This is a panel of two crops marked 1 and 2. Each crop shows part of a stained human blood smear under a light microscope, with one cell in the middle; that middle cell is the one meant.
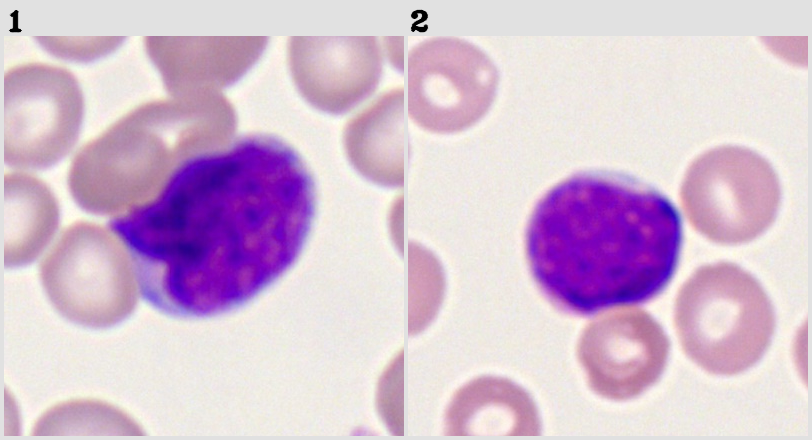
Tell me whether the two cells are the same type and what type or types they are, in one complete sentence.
No, crop 1 depicts a myeloblast; crop 2 depicts a lymphocyte.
